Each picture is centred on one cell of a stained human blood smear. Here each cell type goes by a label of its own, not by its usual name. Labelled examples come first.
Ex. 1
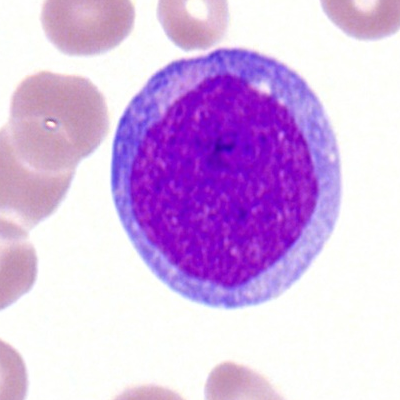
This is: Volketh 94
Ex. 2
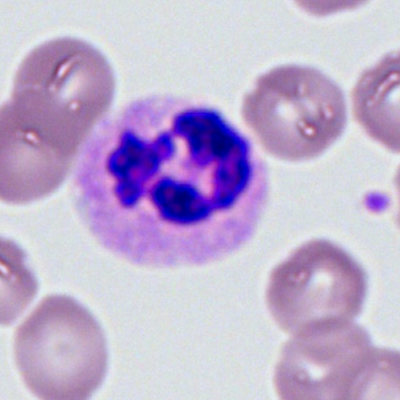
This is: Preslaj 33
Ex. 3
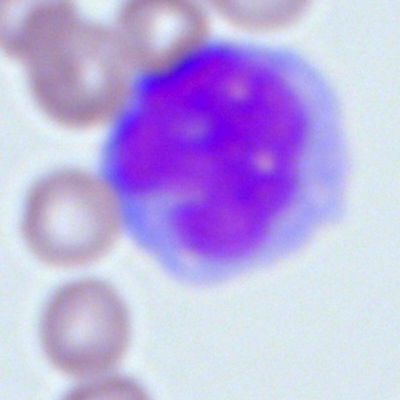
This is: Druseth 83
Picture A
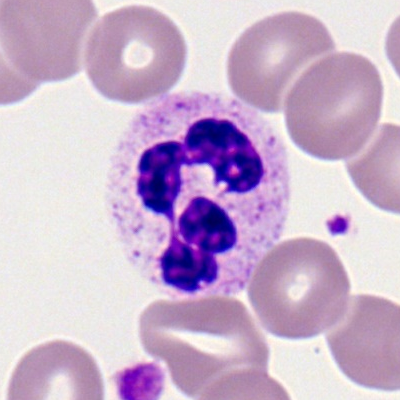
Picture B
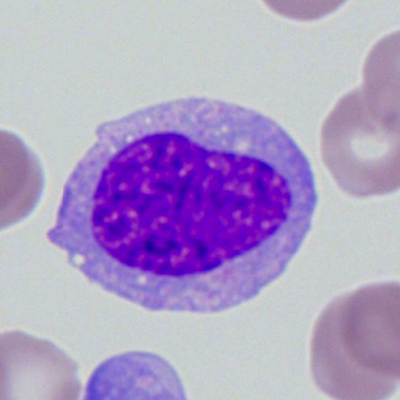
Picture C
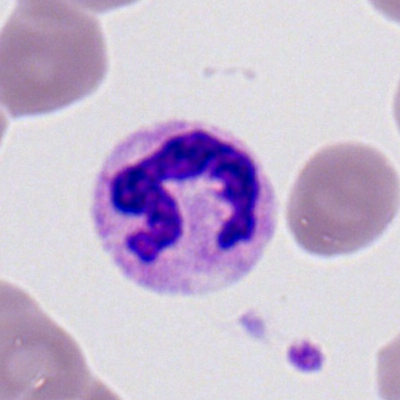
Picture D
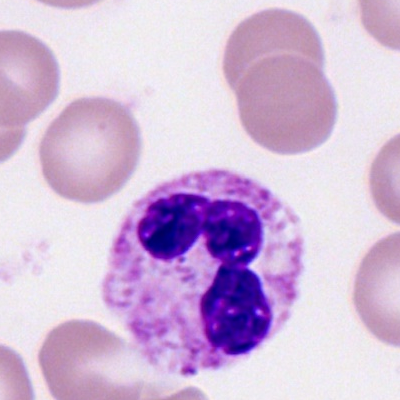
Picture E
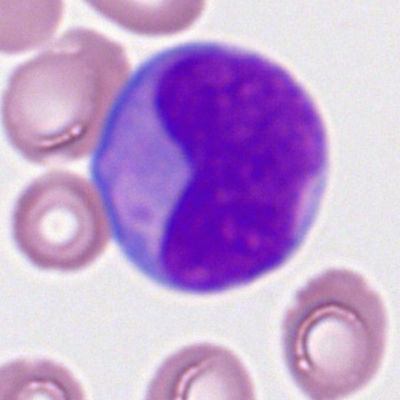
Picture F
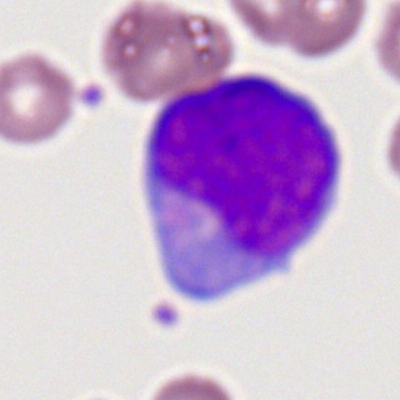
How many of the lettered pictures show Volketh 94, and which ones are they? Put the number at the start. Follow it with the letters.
2, namely E, F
